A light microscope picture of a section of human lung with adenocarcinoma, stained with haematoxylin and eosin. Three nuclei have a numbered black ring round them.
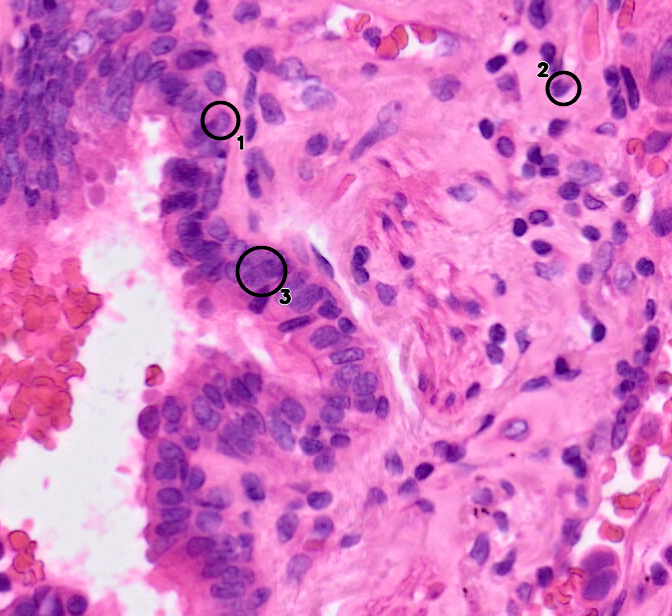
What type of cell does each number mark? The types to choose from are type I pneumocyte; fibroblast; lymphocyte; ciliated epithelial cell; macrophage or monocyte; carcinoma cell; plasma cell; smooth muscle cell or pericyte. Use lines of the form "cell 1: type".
cell 1: ciliated epithelial cell
cell 2: lymphocyte
cell 3: ciliated epithelial cell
